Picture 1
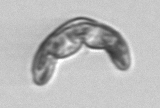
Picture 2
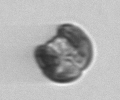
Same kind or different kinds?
Same: Karenia papilionacea.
